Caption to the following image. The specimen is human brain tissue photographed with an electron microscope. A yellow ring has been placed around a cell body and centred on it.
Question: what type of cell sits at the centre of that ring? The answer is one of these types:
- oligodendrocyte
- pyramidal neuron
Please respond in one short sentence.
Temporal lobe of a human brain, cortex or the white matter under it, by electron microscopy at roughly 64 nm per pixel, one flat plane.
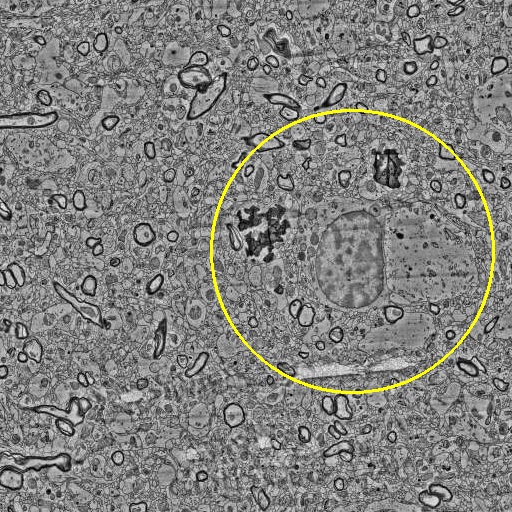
The ring surrounds the cell body of an oligodendrocyte.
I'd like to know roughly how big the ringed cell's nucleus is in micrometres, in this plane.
Roughly 6 micrometres by 5 micrometres, in this plane.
